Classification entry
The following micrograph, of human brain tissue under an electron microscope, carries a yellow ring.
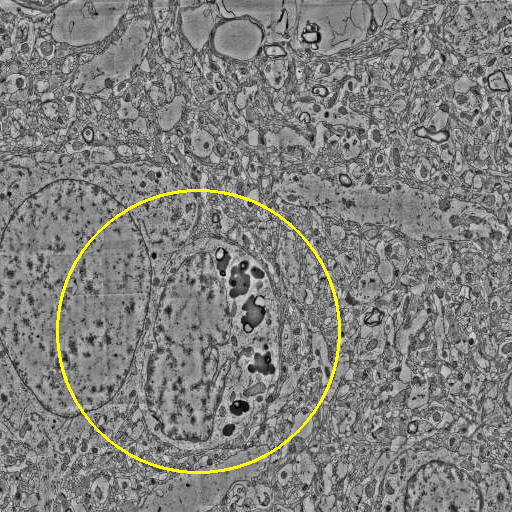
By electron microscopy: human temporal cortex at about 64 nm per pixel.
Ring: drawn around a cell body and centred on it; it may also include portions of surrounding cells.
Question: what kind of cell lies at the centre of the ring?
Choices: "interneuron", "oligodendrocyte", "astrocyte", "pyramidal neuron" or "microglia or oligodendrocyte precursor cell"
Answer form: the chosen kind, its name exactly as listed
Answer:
interneuron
